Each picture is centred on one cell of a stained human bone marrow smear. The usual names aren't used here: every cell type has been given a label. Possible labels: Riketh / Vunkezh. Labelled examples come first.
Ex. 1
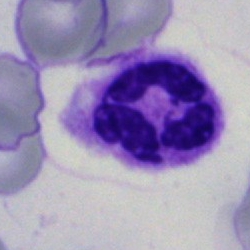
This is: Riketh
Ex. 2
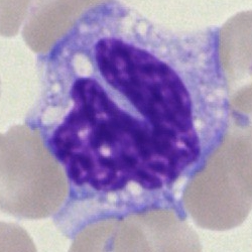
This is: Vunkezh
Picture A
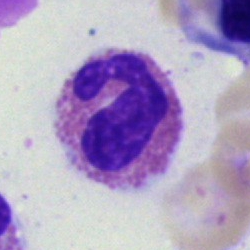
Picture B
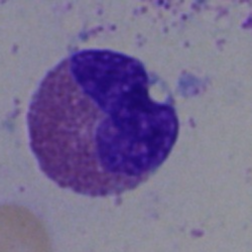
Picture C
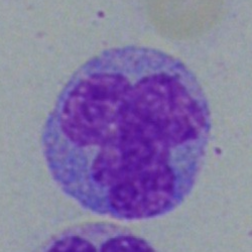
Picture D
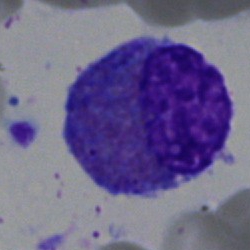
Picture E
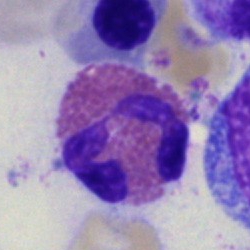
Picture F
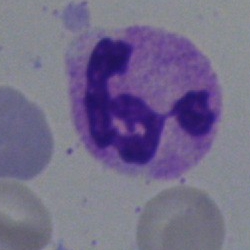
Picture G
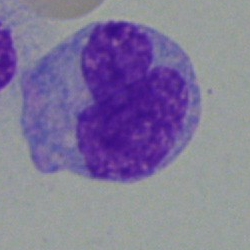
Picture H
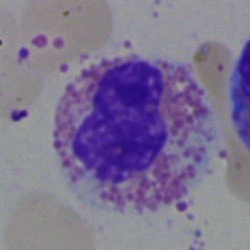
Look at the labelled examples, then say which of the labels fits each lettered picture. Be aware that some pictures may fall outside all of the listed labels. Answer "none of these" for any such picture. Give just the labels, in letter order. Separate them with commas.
none of these, none of these, Vunkezh, none of these, none of these, Riketh, Vunkezh, none of these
